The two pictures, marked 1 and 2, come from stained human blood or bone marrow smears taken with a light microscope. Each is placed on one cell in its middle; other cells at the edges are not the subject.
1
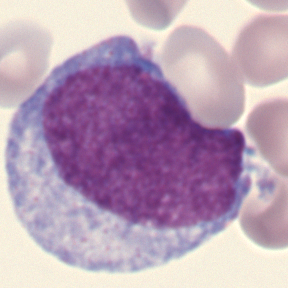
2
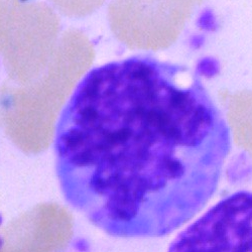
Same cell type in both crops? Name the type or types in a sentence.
No, on this set crop 1 shows a promyelocyte and crop 2 shows a monocyte.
